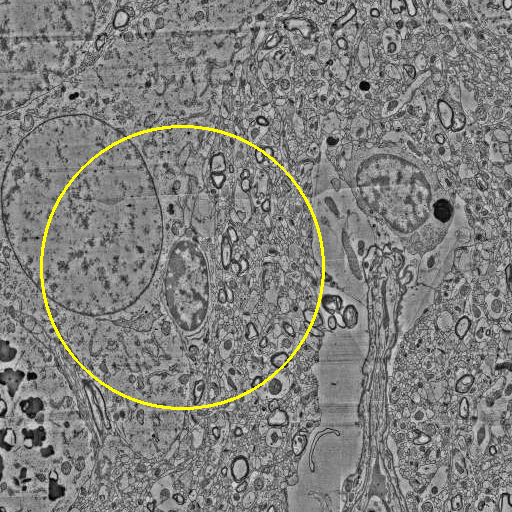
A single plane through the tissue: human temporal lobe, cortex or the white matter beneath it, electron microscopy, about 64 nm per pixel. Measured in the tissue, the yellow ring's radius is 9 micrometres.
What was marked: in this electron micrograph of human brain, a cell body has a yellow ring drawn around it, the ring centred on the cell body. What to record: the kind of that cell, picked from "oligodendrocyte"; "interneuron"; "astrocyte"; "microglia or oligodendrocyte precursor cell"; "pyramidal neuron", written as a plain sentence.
The centred cell is a microglial cell or oligodendrocyte precursor cell.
